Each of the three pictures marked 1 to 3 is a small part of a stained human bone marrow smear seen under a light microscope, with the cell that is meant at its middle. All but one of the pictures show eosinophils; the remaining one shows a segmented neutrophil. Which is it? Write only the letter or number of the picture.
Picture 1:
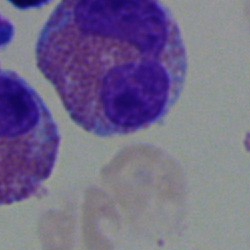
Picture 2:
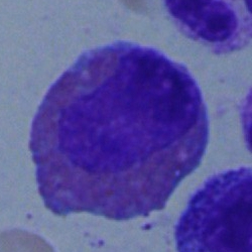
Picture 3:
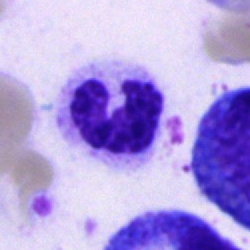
3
